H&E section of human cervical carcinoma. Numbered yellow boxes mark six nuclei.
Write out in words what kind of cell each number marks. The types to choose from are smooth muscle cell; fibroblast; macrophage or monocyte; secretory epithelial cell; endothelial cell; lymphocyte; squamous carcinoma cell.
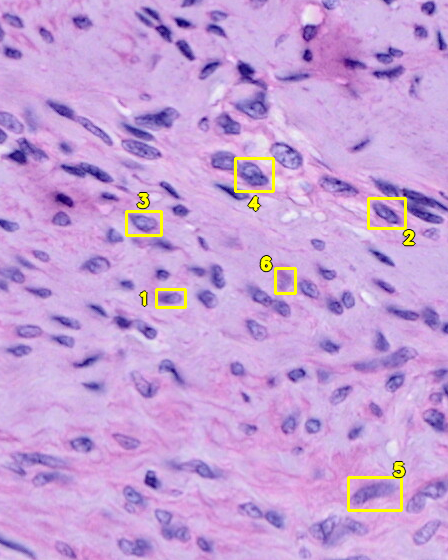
Cell 1 is a smooth muscle cell, cell 2 is an endothelial cell, cell 3 is a smooth muscle cell, cell 4 is an endothelial cell, cell 5 is a smooth muscle cell and cell 6 is a smooth muscle cell.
